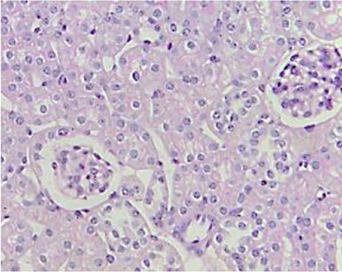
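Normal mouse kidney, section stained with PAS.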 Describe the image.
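The tubules are lined by cuboidal epithelial cells with pink cytoplasm and round nuclei. Little tissue lies between the tubules.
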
